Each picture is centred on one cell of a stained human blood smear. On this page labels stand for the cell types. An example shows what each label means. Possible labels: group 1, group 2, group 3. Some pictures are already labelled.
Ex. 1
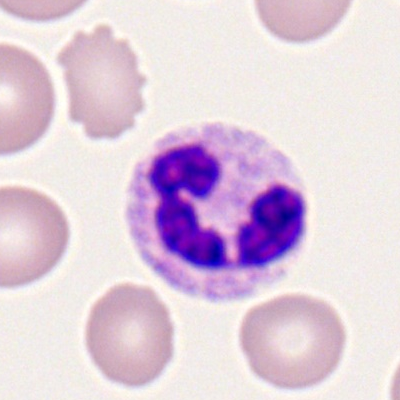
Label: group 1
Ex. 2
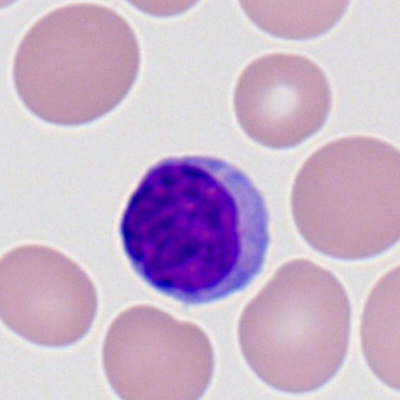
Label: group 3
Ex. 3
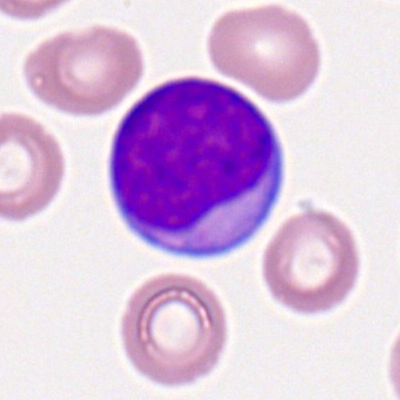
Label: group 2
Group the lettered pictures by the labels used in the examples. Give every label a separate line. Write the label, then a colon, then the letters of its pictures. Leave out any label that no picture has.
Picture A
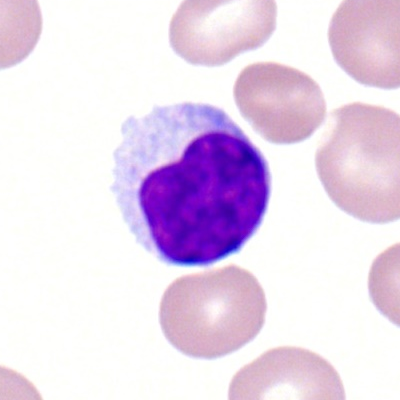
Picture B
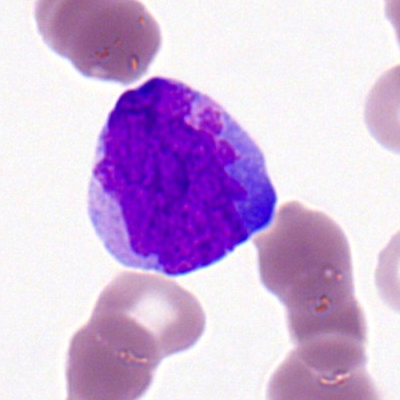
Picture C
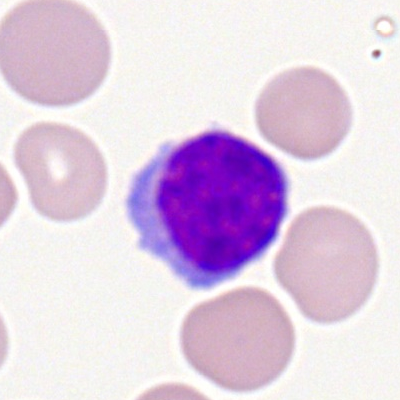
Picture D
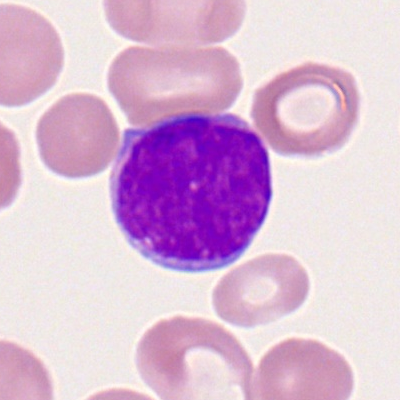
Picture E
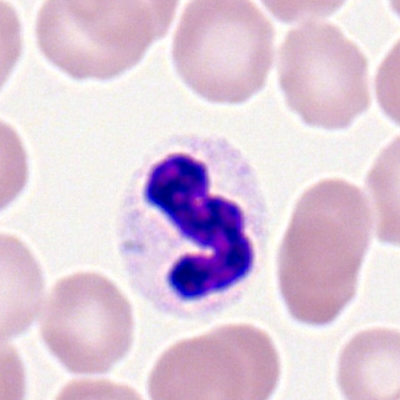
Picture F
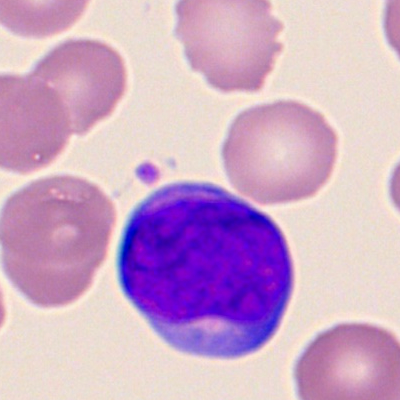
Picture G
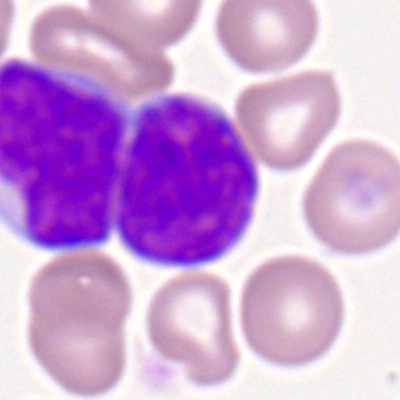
group 1: E
group 2: B, D, F, G
group 3: A, C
